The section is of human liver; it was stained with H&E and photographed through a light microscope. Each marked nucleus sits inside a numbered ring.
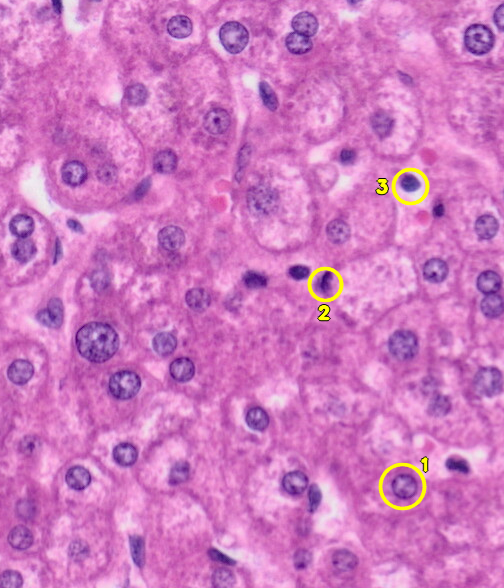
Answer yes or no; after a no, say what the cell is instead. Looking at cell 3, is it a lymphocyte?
Yes.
